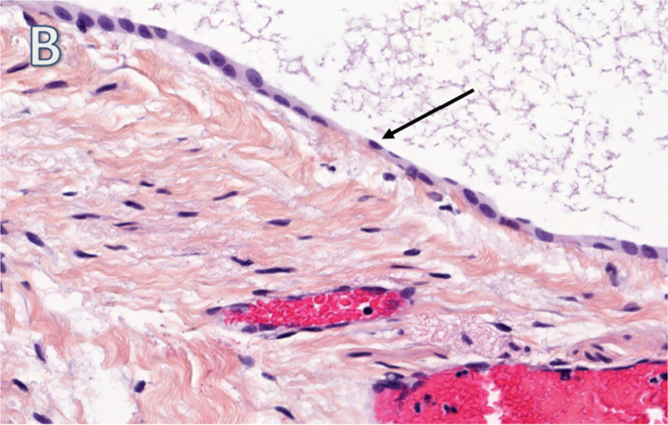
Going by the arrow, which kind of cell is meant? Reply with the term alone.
mesothelial cells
